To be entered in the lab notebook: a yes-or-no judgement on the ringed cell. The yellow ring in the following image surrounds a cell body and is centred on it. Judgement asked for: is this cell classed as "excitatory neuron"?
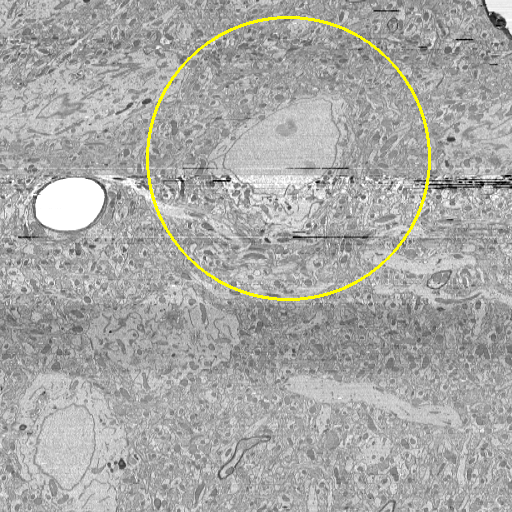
Yes, it is classed that way.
